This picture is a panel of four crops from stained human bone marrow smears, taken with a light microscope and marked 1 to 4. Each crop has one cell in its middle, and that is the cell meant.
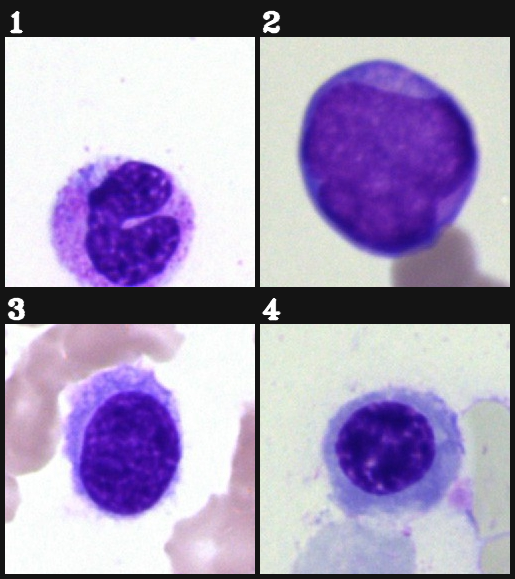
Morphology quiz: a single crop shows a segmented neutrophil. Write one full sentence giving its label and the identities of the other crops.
The cell centred in crop 1 is a segmented neutrophil; by contrast, crop 2 is a blast, crop 3 is a hairy cell and crop 4 is an erythroblast.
